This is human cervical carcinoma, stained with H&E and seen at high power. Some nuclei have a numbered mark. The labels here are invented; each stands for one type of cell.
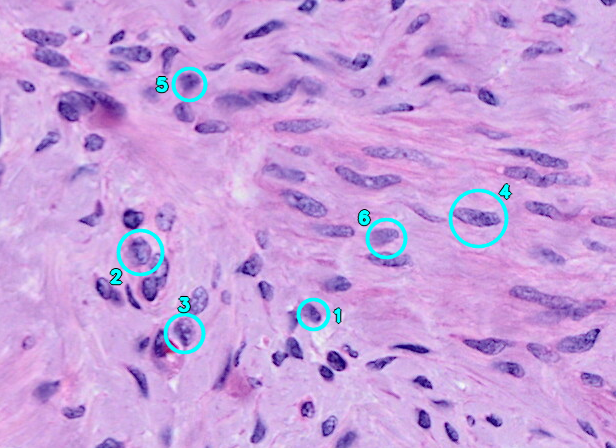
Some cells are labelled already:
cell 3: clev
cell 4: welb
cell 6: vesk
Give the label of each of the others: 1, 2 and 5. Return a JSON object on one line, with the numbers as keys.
{"1": "welb", "2": "clev", "5": "welb"}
